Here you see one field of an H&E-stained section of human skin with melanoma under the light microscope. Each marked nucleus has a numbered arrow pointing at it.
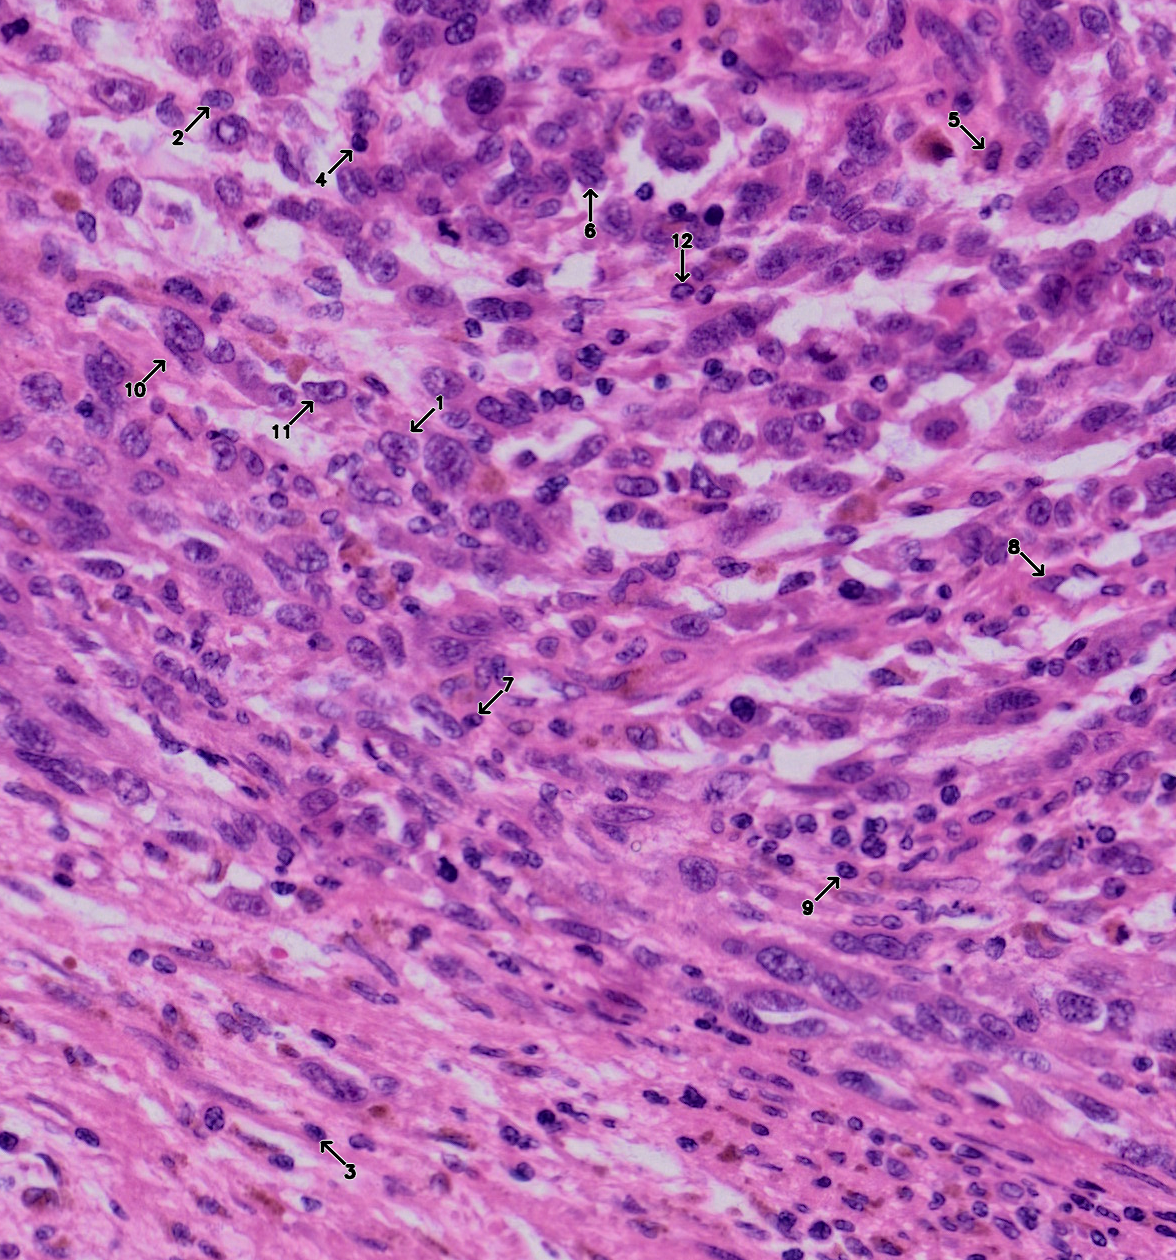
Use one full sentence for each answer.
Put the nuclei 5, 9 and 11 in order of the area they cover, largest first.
Going from the biggest nucleus down to the smallest gives 11, 5, 9.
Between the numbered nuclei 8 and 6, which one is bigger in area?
Nucleus 6 covers more area, about 2 times as much as nucleus 8.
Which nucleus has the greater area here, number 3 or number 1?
Nucleus 1 is the larger one, covering about 3 times the area of nucleus 3.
